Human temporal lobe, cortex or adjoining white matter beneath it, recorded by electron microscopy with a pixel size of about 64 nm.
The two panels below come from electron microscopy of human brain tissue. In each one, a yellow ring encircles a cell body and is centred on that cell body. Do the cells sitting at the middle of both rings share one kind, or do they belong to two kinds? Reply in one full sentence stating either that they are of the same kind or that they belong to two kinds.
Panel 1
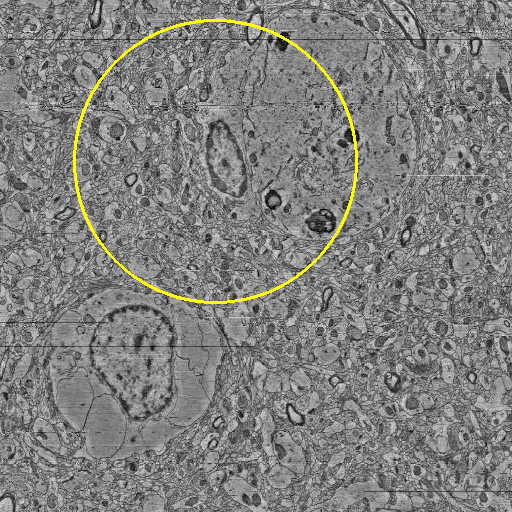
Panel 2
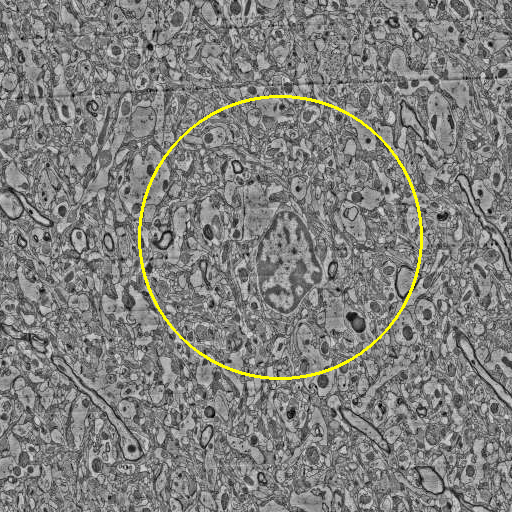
The cells at the centres of the two rings are of the same kind.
